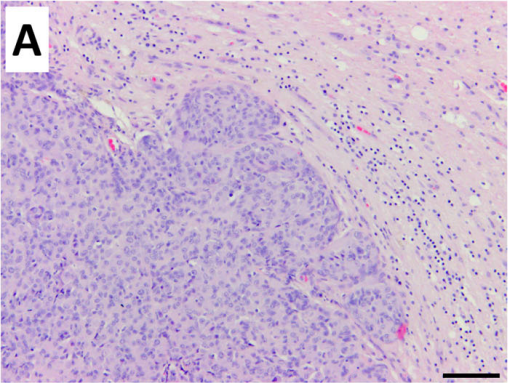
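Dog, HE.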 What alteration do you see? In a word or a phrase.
Meningothelial meningioma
